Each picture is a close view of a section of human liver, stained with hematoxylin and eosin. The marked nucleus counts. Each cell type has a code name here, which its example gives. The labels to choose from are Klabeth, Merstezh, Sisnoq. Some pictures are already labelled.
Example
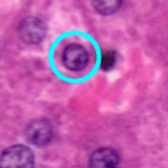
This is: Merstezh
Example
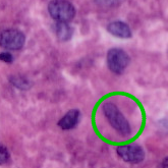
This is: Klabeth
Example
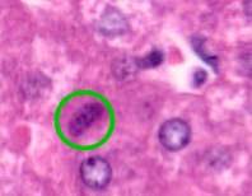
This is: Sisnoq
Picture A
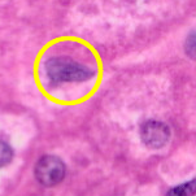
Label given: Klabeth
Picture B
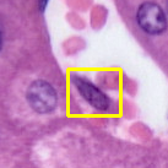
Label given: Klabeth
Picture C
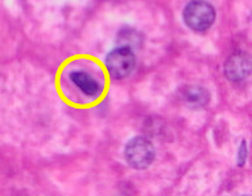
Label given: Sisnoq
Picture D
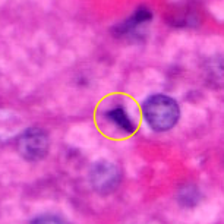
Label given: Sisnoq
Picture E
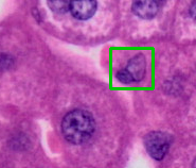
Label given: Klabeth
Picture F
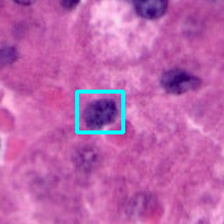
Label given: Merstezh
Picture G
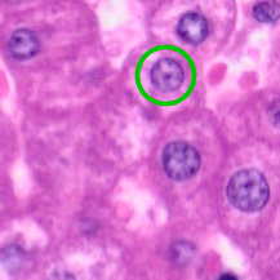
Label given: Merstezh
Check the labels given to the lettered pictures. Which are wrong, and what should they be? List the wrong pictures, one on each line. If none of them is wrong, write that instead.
F: not Merstezh but Sisnoq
